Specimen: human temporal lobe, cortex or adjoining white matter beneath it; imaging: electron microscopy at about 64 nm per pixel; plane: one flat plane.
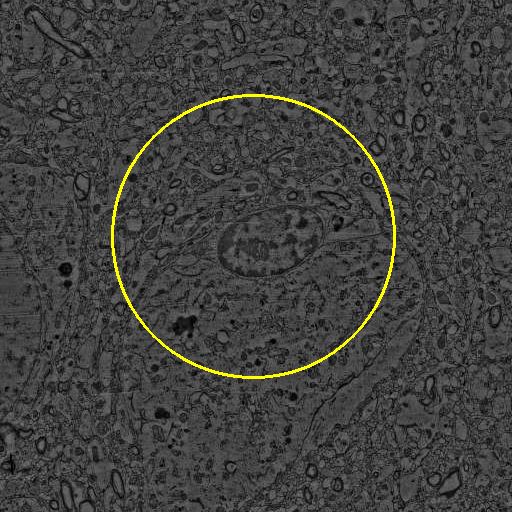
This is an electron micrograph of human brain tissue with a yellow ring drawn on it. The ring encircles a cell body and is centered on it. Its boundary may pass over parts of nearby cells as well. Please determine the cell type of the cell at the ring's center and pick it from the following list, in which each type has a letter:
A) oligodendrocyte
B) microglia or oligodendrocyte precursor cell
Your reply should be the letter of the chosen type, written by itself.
B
